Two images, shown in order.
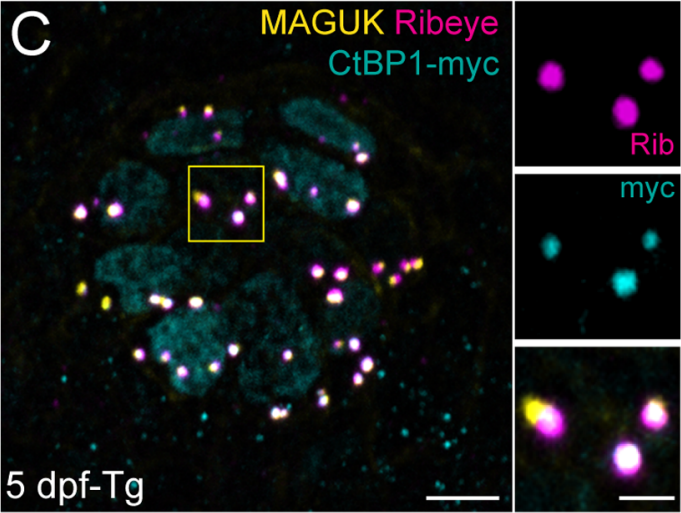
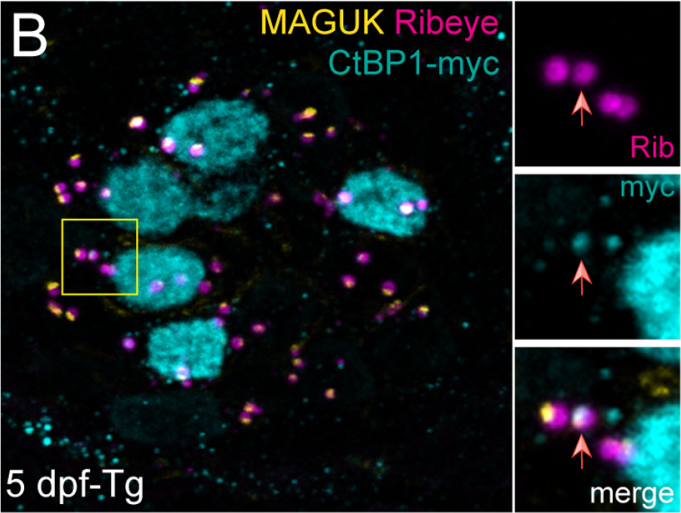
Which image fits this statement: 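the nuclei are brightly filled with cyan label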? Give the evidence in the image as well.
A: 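First image: the oval nuclear areas are only dimly cyan while the puncta appear white from strong overlap. Second image: the oval nuclear areas are bright cyan while most puncta stay magenta. On this evidence: the second image.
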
